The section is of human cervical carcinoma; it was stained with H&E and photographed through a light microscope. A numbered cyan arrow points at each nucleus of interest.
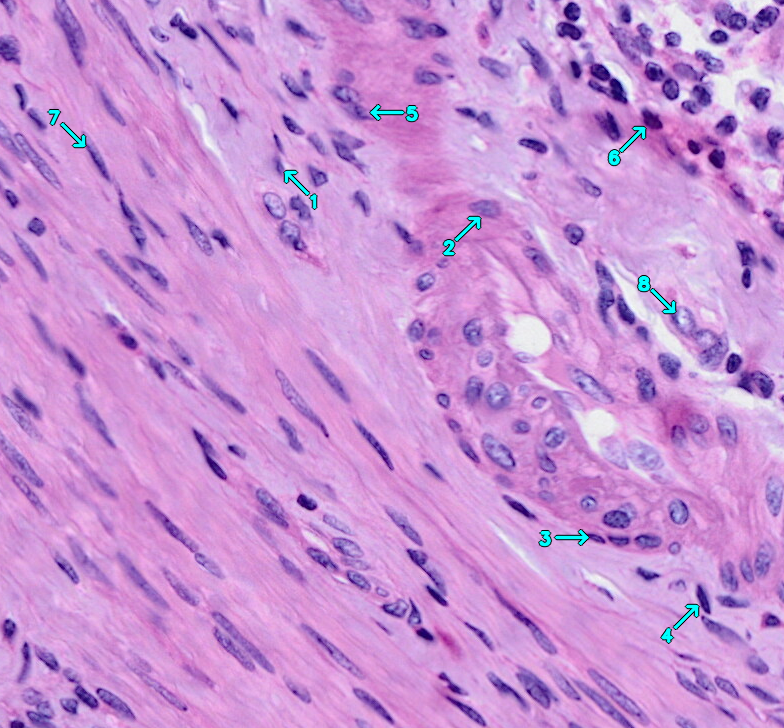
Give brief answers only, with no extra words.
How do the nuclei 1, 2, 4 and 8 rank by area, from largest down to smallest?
8, 2, 4, 1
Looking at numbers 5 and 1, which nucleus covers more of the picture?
5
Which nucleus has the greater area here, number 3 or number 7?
7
